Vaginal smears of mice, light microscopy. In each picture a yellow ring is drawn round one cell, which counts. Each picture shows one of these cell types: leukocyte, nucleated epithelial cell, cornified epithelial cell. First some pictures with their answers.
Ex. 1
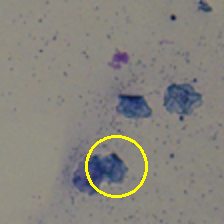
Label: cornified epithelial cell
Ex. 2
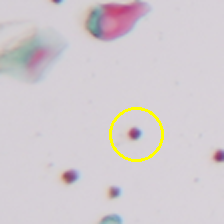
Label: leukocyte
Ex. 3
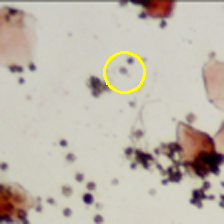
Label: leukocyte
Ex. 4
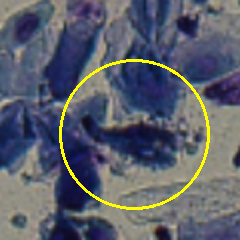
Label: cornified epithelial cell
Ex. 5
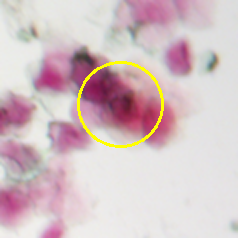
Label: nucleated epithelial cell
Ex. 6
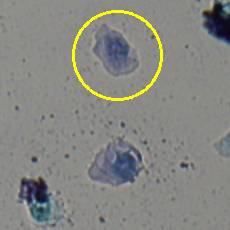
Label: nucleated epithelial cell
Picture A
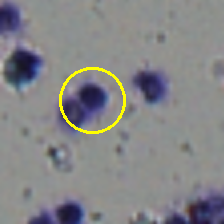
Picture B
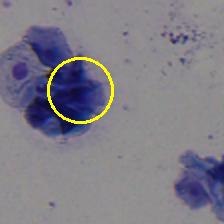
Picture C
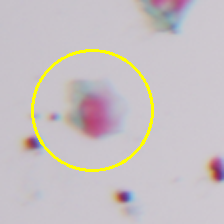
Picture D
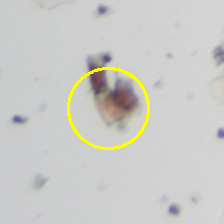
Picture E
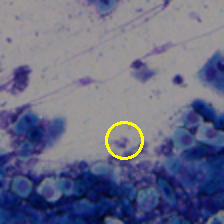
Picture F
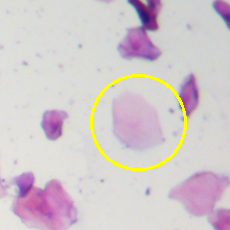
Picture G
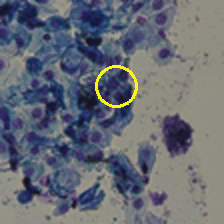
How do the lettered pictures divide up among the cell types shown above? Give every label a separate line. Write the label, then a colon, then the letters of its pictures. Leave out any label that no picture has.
leukocyte: A, E
nucleated epithelial cell: C, G
cornified epithelial cell: B, D, F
